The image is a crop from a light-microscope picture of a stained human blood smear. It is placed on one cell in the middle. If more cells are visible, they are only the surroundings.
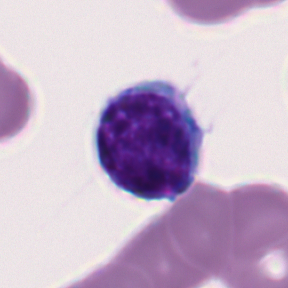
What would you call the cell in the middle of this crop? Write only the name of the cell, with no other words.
plasma cell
